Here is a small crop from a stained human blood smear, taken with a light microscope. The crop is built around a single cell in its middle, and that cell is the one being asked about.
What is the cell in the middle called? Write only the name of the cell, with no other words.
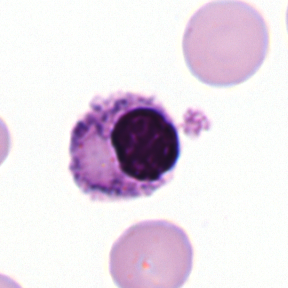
normoblast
